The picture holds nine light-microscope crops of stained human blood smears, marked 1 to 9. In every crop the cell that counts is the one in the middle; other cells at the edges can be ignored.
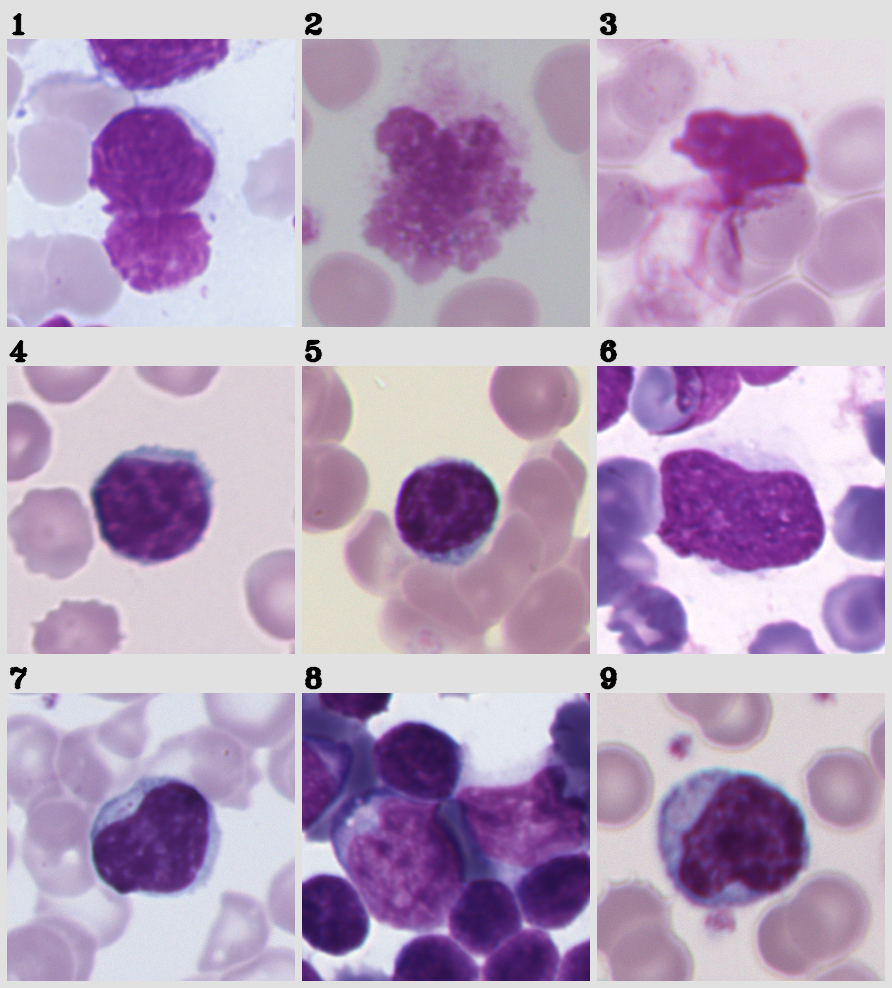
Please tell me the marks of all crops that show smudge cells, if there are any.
2, 3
